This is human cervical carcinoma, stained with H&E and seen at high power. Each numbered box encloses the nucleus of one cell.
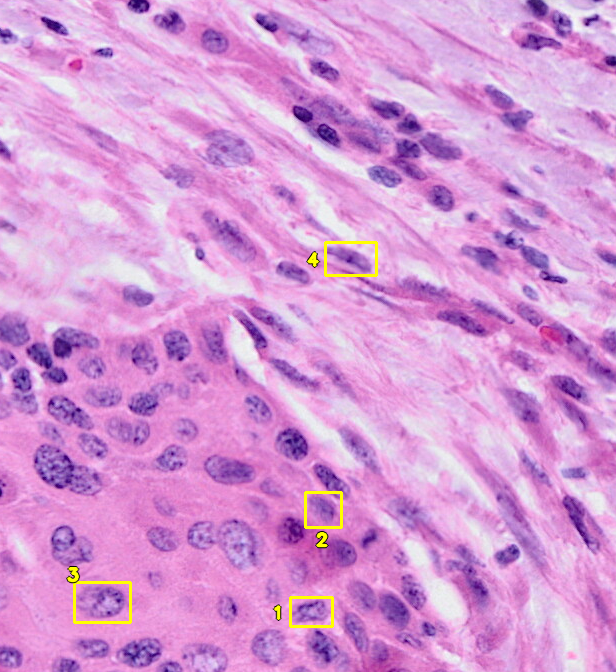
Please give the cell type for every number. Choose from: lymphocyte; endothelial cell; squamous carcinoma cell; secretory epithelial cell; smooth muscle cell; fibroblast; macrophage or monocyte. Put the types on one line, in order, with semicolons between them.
squamous carcinoma cell; squamous carcinoma cell; squamous carcinoma cell; fibroblast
